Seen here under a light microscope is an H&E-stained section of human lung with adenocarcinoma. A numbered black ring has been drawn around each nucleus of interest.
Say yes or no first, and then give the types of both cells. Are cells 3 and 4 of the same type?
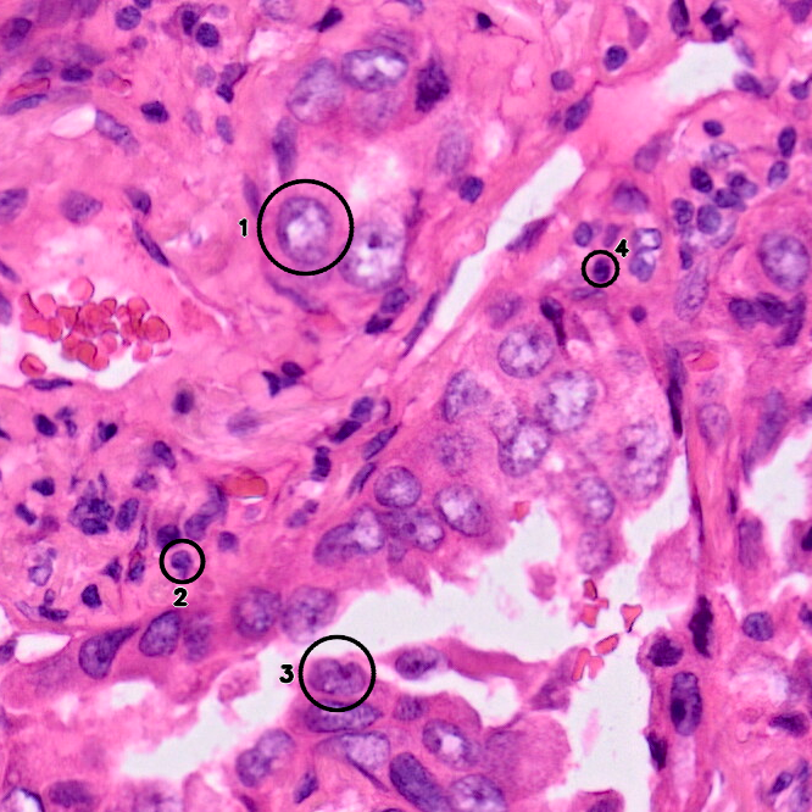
No, cell 4 is a lymphocyte, whereas cell 3 is a carcinoma cell.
